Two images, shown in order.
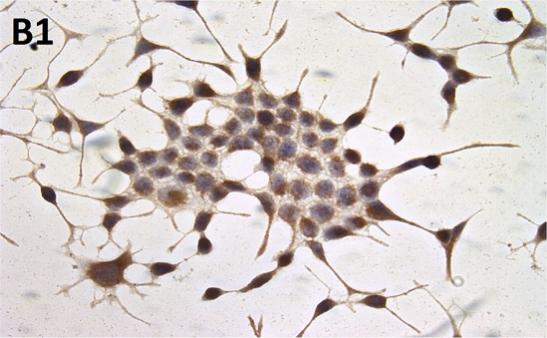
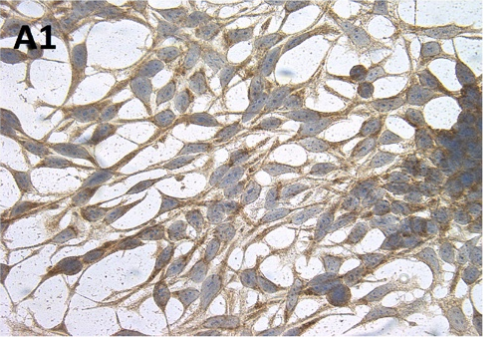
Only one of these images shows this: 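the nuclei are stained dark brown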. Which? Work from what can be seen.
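Second image: most nuclei are blue, with brown mainly in cytoplasm and processes. That points to this answer: the first image.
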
